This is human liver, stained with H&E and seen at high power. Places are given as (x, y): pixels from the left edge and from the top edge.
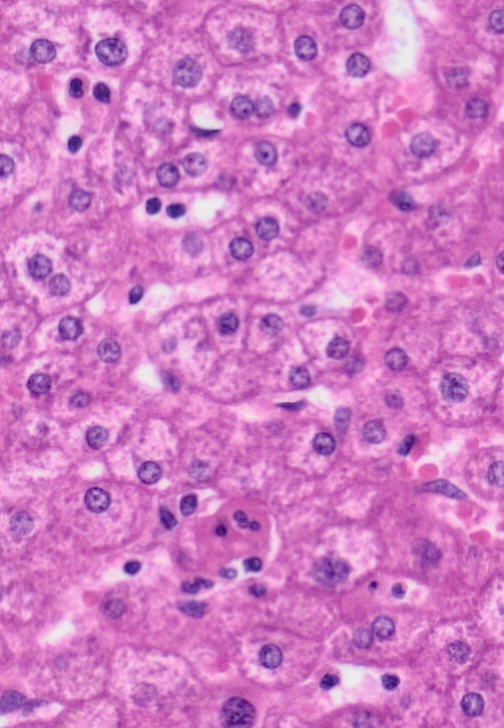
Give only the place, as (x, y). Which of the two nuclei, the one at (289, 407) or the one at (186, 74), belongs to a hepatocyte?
(186, 74)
